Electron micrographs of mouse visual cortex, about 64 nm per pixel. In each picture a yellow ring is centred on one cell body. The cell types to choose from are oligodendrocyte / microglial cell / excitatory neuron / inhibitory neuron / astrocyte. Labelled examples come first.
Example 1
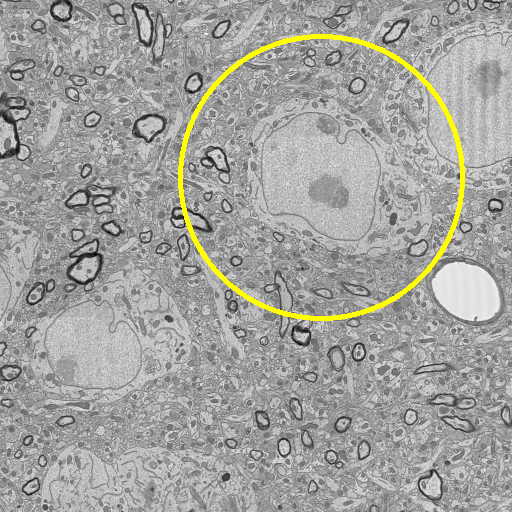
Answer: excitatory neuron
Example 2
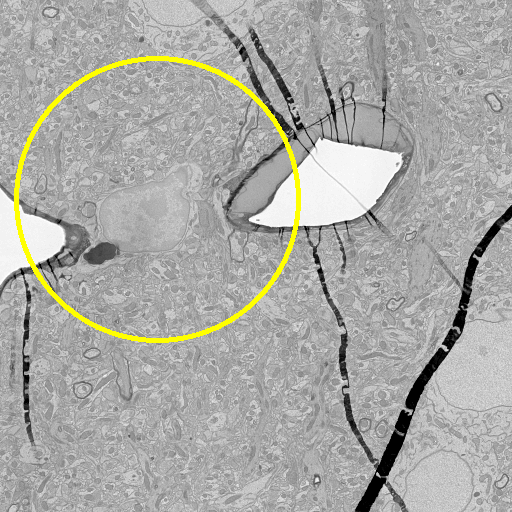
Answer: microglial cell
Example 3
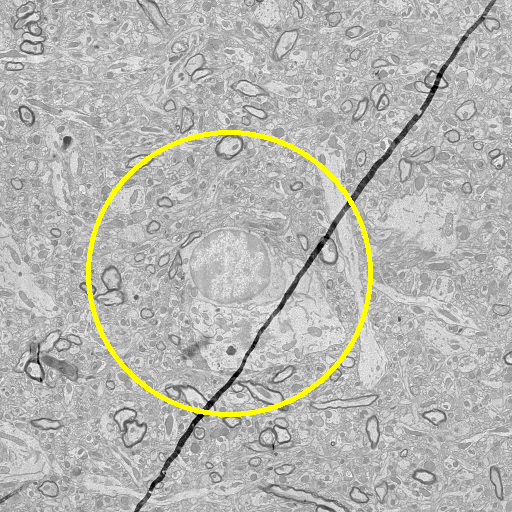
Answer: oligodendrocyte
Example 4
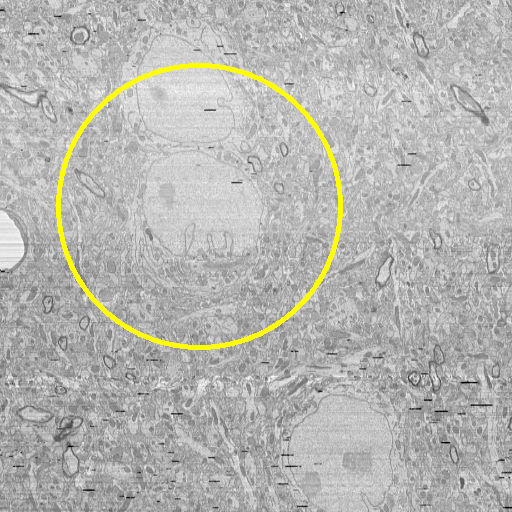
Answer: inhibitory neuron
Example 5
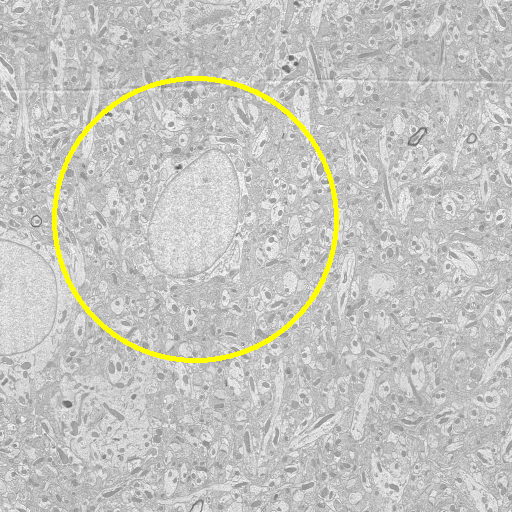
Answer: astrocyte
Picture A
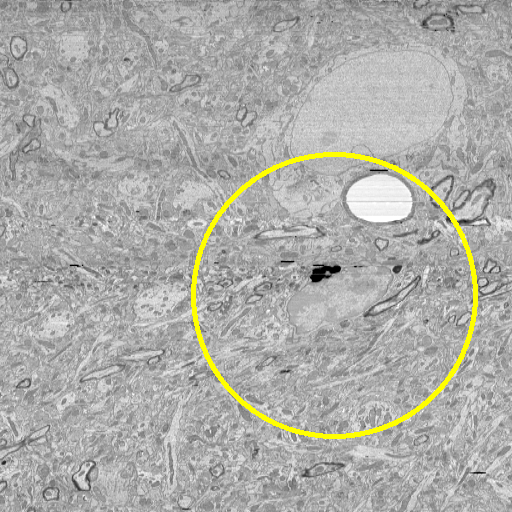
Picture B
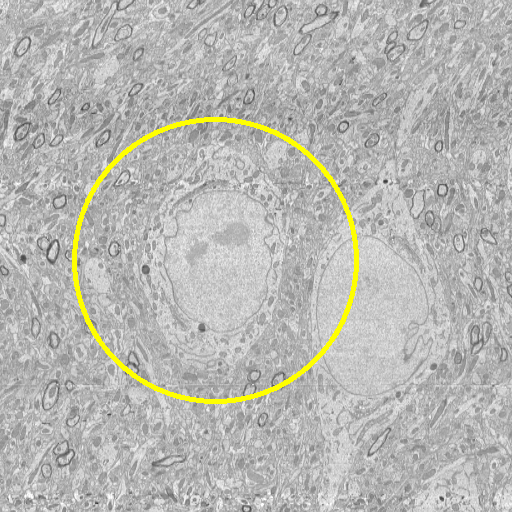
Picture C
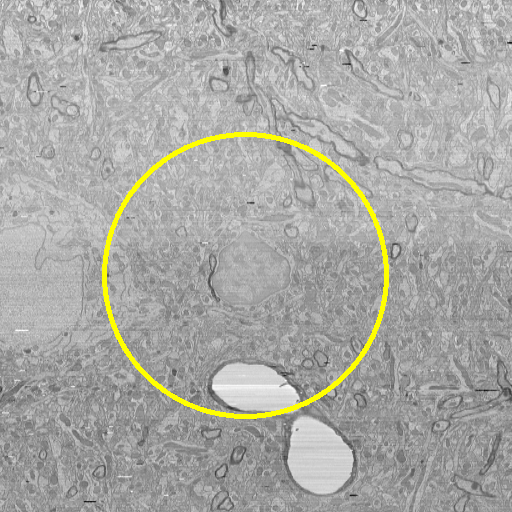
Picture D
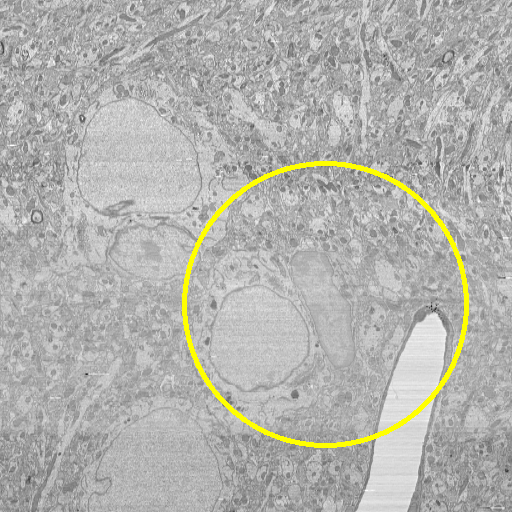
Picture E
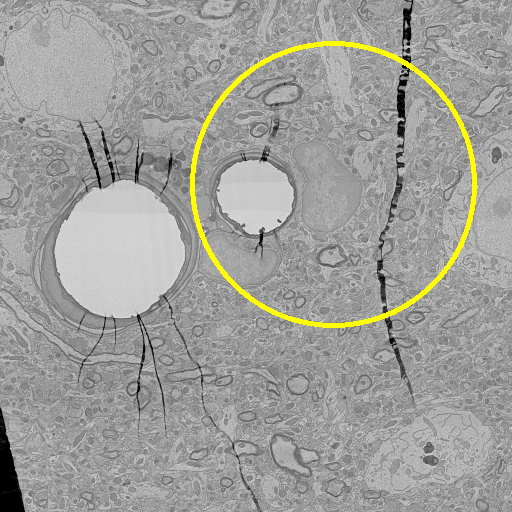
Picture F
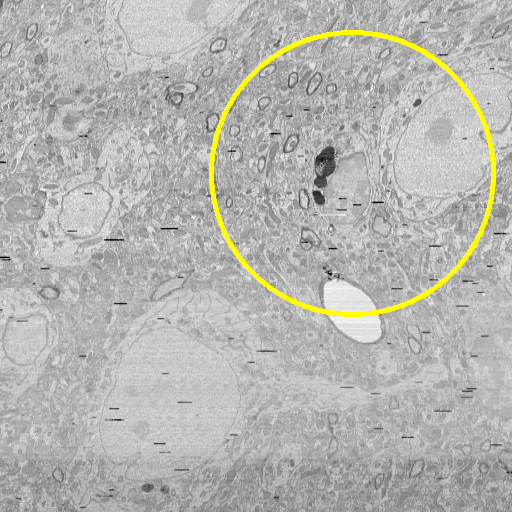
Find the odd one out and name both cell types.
B differs and shows inhibitory neuron; the others show microglial cell.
